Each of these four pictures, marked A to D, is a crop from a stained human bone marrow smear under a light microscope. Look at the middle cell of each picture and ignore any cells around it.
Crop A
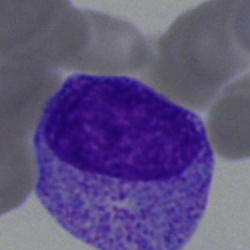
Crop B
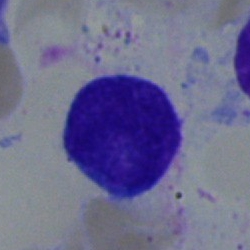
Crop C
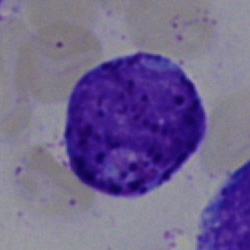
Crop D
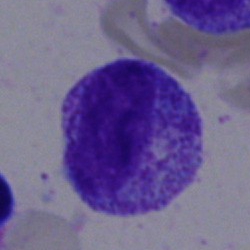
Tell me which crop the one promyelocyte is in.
A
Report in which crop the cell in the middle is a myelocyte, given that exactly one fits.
D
